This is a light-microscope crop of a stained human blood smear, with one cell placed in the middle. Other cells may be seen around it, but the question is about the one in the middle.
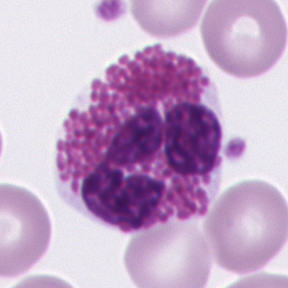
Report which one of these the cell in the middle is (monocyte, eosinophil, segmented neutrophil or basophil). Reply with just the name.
eosinophil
